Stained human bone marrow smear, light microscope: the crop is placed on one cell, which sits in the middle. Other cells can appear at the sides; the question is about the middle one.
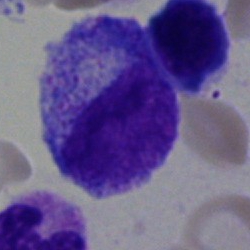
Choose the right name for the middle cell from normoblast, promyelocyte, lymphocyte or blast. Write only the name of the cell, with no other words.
promyelocyte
